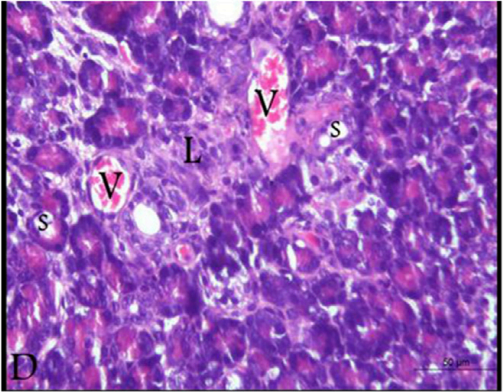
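This field of exocrine pancreas shows acini surrounding a widened area of pale pink loose connective tissue in the centre. Two blood vessels in this area are distended and filled with red blood cells. Scattered cells with dark nuclei lie within the pale connective tissue between the vessels. The surrounding acini are made of cells with dark nuclei and pinkish cytoplasm, some arranged around small lumina, and the packing of the acini is looser near the central area.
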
